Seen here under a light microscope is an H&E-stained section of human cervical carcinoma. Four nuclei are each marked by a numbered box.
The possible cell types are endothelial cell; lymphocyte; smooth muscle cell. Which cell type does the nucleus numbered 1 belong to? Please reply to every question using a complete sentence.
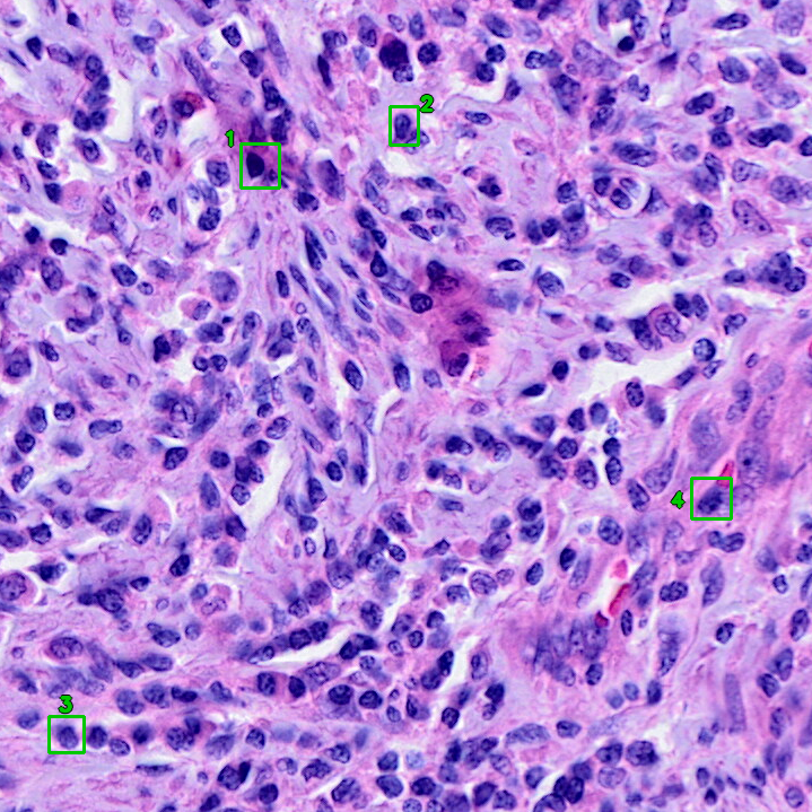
Cell 1, as marked in the section, is a lymphocyte.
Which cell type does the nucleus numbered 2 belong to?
Number 2 is placed on a lymphocyte here.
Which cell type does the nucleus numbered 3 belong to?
The cell assigned the number 3 is a lymphocyte.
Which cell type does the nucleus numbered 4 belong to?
Identified by the number 4, the cell is an endothelial cell.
